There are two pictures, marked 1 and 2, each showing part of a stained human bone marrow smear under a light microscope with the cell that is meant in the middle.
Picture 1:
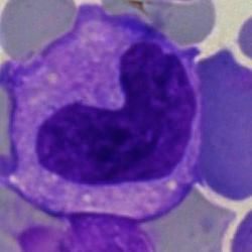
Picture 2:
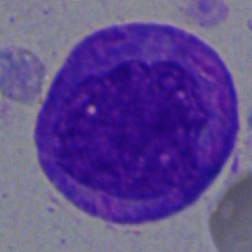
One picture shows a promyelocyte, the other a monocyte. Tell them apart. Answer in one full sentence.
Picture 1 is of a monocyte, and picture 2 is of a promyelocyte.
